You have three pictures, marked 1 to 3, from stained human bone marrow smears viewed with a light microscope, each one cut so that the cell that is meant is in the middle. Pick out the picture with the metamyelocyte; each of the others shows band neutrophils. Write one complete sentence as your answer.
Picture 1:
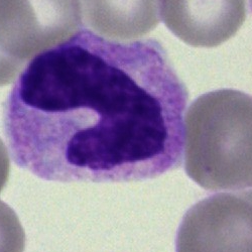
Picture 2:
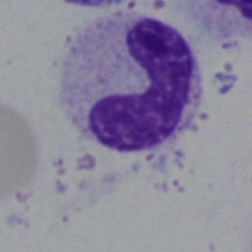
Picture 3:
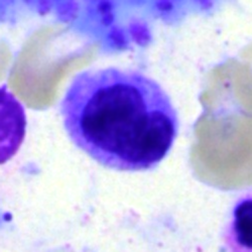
Picture 3 shows the metamyelocyte.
